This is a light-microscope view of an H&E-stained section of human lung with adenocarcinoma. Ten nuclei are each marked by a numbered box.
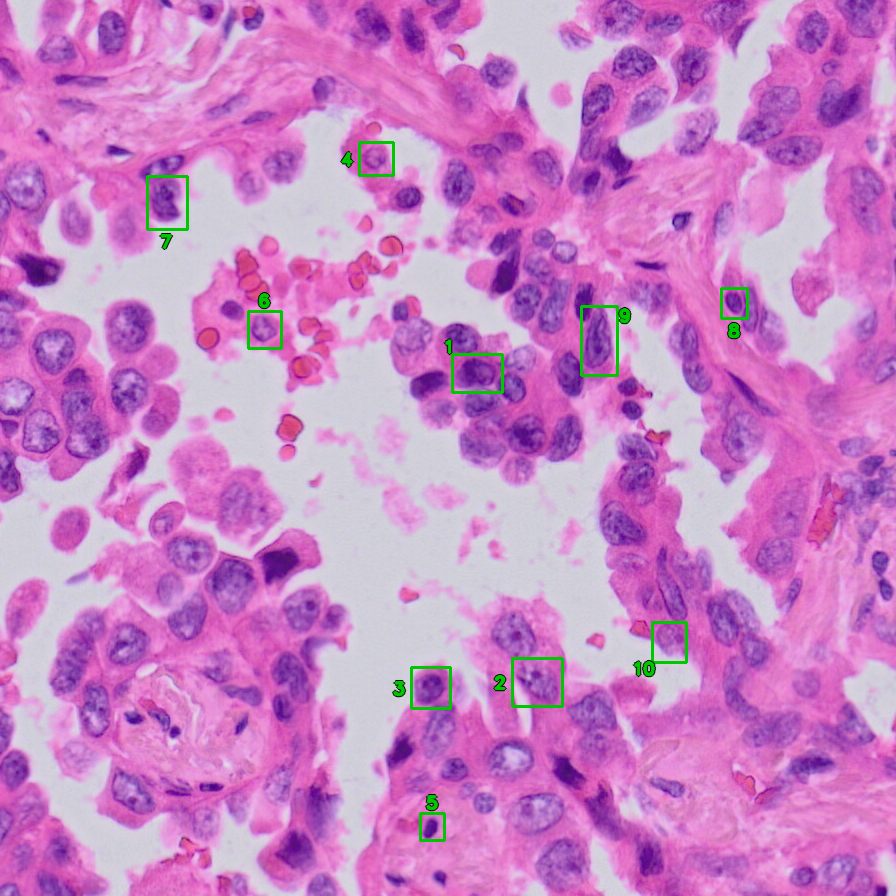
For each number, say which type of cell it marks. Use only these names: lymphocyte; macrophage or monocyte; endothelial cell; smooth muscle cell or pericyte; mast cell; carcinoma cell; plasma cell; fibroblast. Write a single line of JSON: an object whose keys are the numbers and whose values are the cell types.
{"1": "carcinoma cell", "2": "carcinoma cell", "3": "carcinoma cell", "4": "macrophage or monocyte", "5": "lymphocyte", "6": "macrophage or monocyte", "7": "carcinoma cell", "8": "lymphocyte", "9": "carcinoma cell", "10": "carcinoma cell"}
